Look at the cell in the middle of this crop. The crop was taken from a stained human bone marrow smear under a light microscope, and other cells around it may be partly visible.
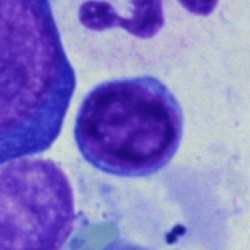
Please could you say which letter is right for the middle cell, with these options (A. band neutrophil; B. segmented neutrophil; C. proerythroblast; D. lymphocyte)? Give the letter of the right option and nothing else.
D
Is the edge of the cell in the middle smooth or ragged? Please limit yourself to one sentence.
Its surface contour is regular and smooth, without any protrusions.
